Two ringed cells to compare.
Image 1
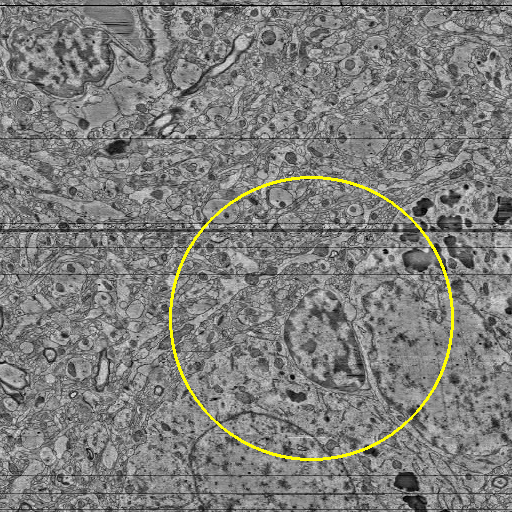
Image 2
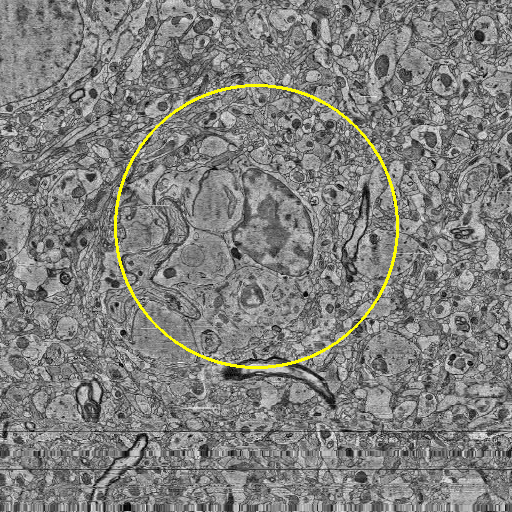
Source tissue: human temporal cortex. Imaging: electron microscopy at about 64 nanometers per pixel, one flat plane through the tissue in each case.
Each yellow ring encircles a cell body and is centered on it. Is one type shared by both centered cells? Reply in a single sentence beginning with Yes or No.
Yes, a single type is shared by the two cells at the centers of the rings.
